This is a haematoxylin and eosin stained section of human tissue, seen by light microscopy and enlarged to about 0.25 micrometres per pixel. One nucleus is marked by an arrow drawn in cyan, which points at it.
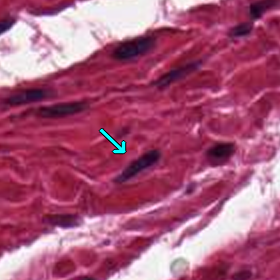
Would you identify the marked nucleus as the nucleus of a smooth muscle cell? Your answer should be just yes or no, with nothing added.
yes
